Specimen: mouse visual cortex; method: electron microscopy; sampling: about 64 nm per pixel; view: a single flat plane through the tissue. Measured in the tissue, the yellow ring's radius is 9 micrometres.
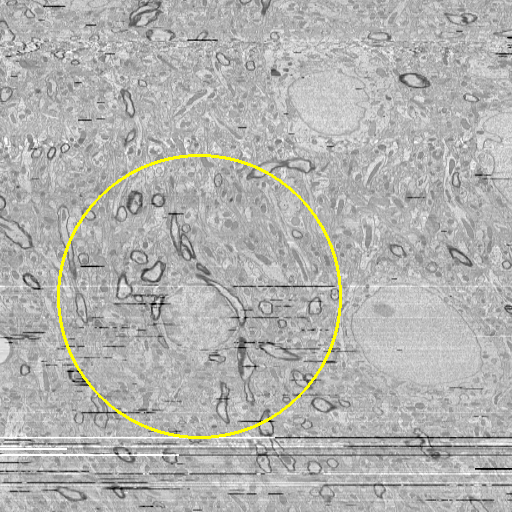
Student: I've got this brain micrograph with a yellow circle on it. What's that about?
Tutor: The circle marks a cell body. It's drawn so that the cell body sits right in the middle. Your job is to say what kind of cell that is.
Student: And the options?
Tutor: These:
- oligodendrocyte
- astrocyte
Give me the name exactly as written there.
oligodendrocyte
